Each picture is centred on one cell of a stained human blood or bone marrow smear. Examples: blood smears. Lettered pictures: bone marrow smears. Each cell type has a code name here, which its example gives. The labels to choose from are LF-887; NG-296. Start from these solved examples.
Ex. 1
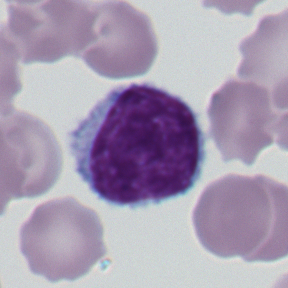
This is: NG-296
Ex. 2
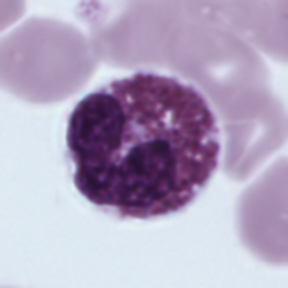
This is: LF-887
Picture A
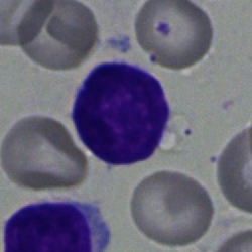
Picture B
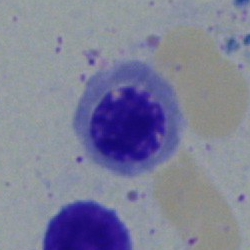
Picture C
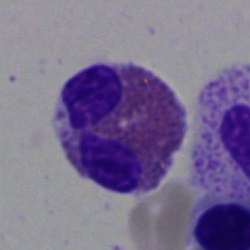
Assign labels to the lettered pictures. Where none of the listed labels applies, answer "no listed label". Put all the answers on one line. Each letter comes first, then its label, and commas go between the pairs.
A NG-296, B no listed label, C LF-887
